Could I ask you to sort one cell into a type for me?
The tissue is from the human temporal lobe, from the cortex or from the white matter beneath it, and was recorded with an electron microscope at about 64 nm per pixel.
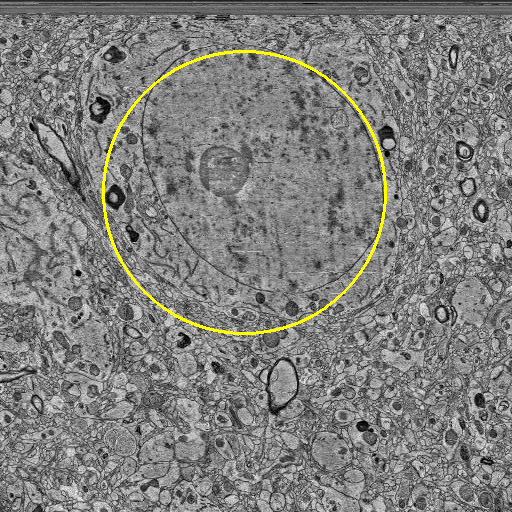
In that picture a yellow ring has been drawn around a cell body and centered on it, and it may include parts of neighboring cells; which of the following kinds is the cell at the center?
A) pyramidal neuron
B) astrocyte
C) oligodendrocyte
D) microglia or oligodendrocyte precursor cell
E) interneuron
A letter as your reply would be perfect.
A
